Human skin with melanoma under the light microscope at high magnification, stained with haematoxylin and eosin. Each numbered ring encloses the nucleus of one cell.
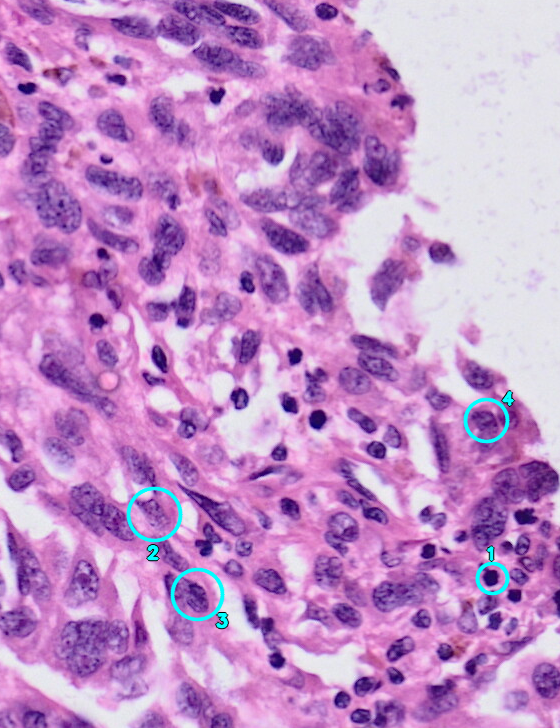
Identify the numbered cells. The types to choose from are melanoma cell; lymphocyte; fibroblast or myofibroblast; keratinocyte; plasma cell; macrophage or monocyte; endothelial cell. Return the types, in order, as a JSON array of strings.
["lymphocyte", "melanoma cell", "melanoma cell", "melanoma cell"]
